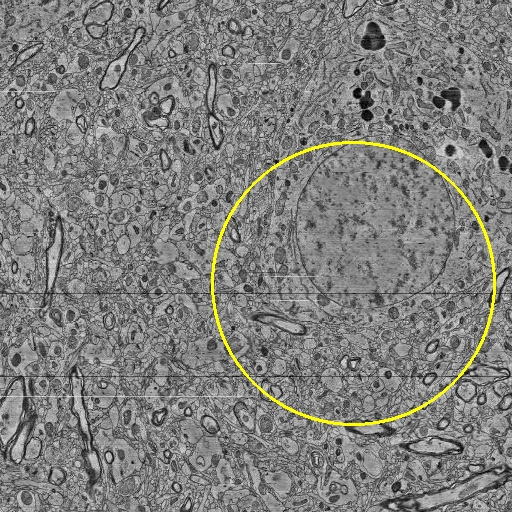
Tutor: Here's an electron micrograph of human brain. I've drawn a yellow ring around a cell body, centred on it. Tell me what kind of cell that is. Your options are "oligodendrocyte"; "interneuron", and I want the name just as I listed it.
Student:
interneuron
